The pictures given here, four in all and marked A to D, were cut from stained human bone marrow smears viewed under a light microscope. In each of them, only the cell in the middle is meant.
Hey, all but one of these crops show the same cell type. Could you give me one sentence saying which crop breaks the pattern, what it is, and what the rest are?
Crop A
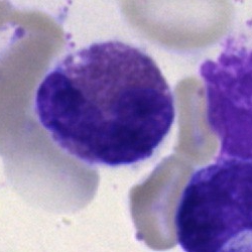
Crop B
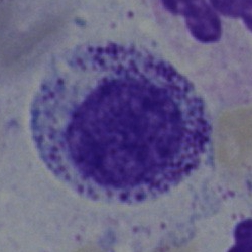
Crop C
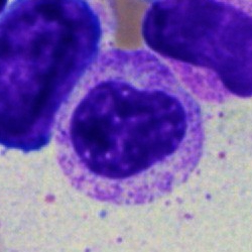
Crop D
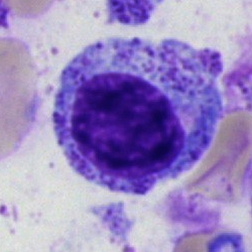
Just crop A is an eosinophil; all the other crops show myelocytes.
